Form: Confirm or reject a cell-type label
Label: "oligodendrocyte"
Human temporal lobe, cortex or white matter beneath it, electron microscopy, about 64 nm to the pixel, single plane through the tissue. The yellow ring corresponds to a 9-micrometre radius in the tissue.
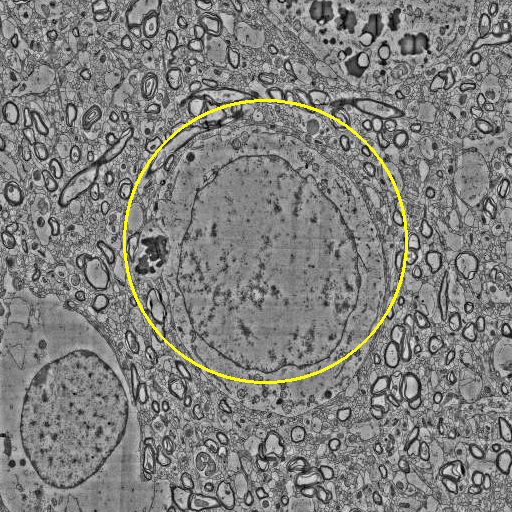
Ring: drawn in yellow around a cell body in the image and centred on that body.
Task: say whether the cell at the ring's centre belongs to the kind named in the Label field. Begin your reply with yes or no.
No, it belongs to another kind.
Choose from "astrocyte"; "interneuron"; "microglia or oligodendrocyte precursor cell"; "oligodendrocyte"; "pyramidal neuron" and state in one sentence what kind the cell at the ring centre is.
What the ring is centred on is a pyramidal neuron.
